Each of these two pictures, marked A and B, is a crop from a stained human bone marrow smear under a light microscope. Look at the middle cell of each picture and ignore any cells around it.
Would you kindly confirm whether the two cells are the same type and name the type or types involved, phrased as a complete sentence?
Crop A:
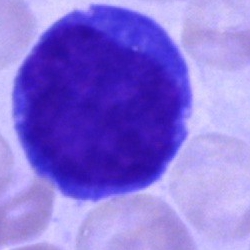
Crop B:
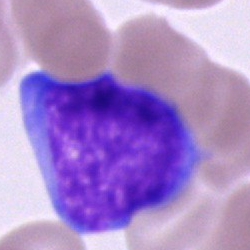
Yes, the cells placed at the centre of both crops are blasts.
